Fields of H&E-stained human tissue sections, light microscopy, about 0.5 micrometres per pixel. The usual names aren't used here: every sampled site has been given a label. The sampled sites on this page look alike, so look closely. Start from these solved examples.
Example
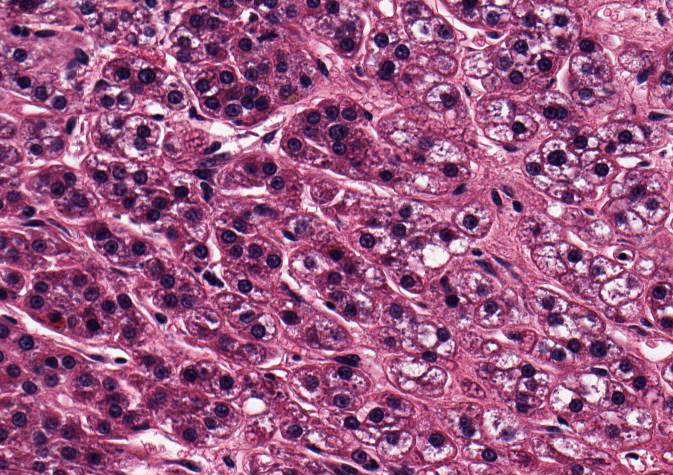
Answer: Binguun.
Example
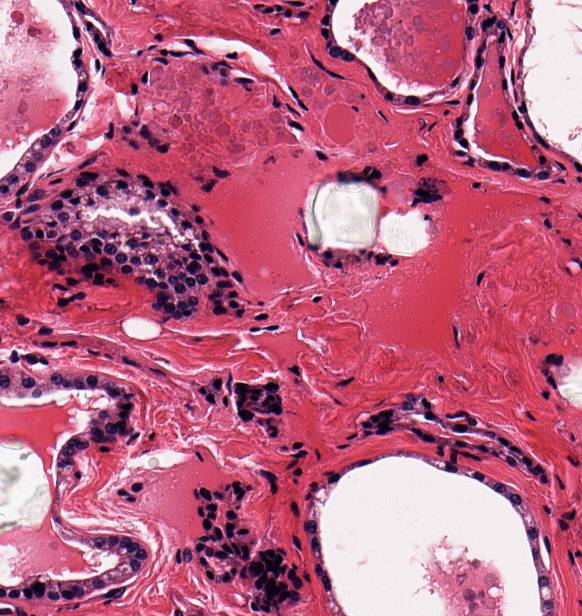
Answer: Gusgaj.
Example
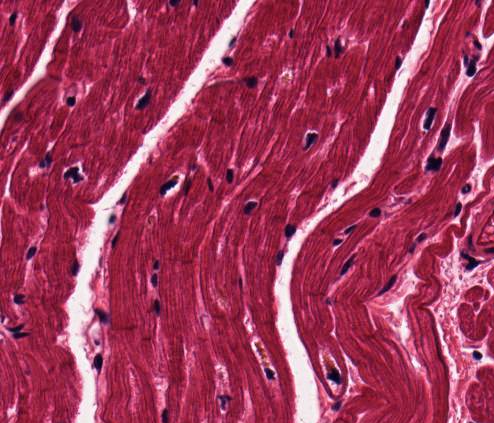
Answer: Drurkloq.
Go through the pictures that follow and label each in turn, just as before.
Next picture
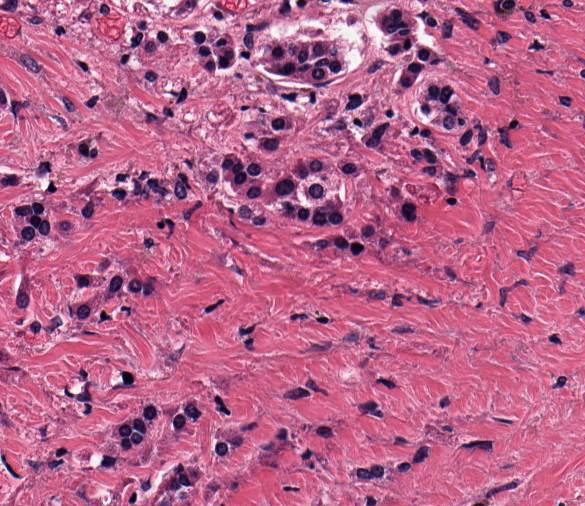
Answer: Binguun.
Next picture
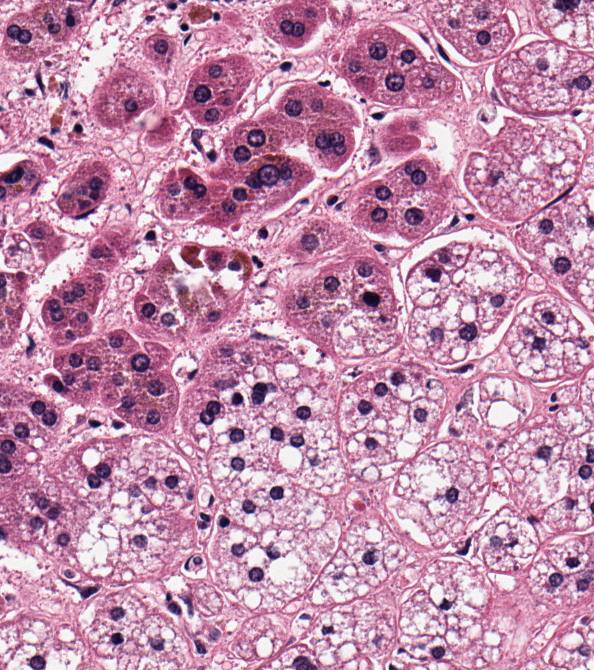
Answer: Binguun.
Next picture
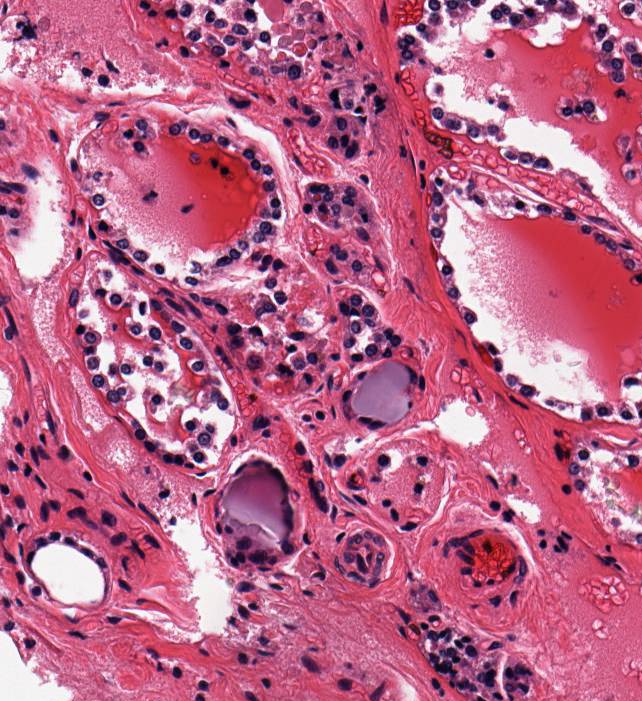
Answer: Gusgaj.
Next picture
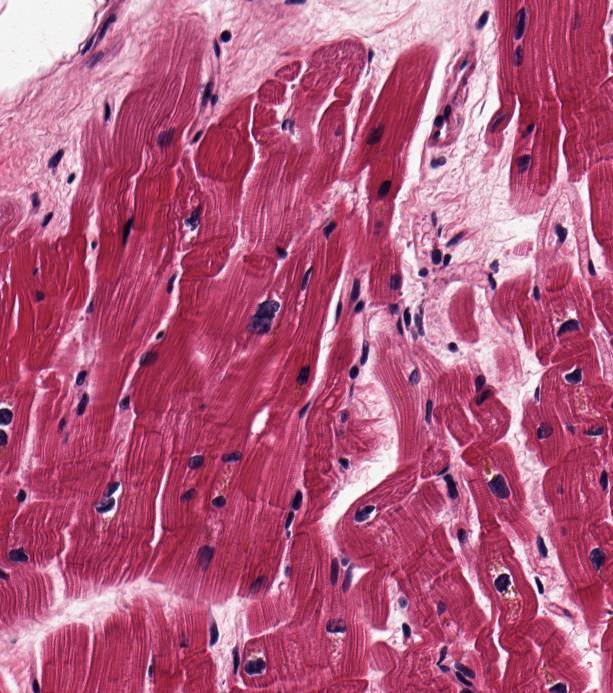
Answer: Drurkloq.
